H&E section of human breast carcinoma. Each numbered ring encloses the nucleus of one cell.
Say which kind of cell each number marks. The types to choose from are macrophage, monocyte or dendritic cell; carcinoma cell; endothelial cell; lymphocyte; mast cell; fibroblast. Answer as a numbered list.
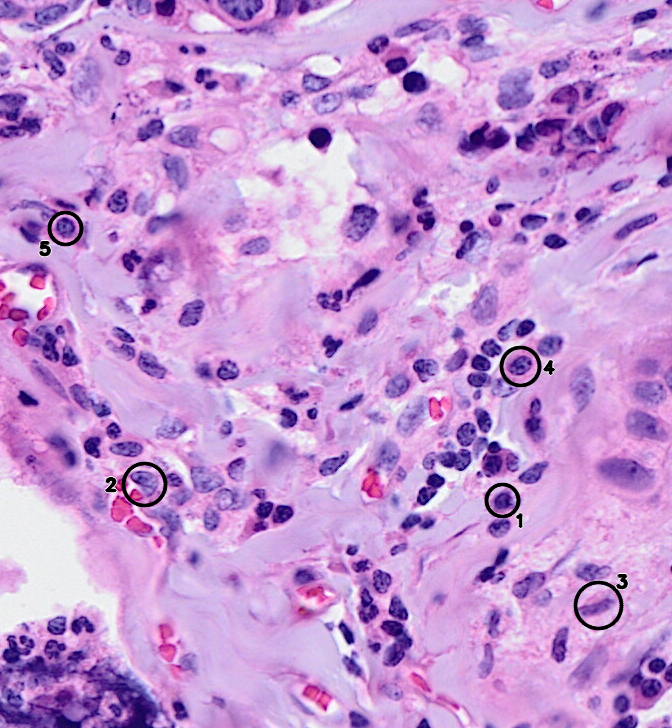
1. lymphocyte
2. endothelial cell
3. macrophage, monocyte or dendritic cell
4. mast cell
5. mast cell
